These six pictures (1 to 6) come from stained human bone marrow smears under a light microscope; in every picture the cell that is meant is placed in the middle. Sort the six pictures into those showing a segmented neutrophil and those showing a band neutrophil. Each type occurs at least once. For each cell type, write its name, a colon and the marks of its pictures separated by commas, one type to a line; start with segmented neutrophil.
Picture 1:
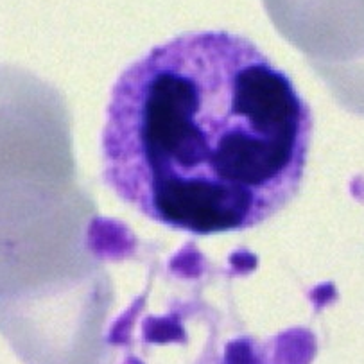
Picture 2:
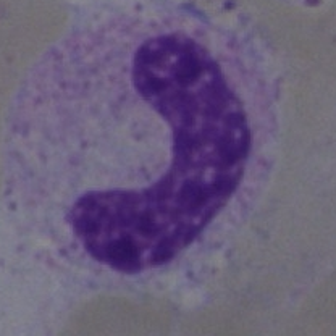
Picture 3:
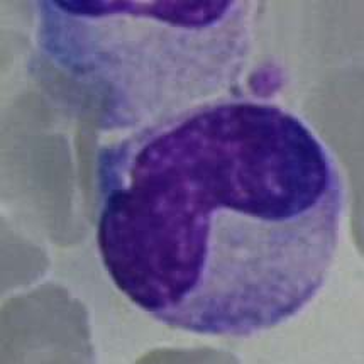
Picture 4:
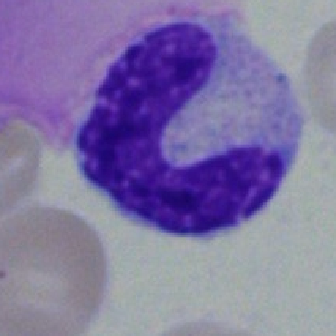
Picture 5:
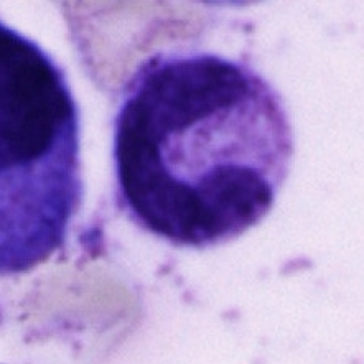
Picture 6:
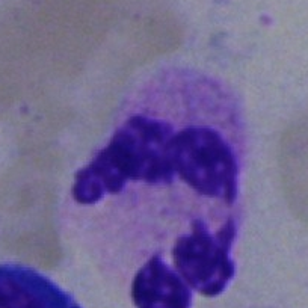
segmented neutrophil: 1, 6
band neutrophil: 2, 3, 4, 5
